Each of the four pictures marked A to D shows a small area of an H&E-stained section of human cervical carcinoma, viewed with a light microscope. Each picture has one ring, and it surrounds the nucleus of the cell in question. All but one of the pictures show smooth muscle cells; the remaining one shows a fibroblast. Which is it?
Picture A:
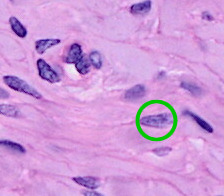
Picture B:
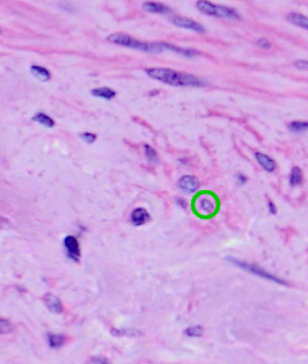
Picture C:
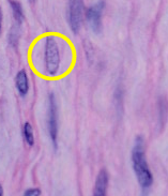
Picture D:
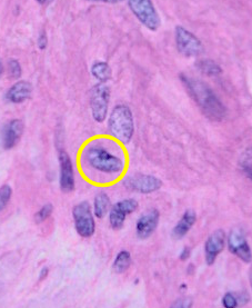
A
